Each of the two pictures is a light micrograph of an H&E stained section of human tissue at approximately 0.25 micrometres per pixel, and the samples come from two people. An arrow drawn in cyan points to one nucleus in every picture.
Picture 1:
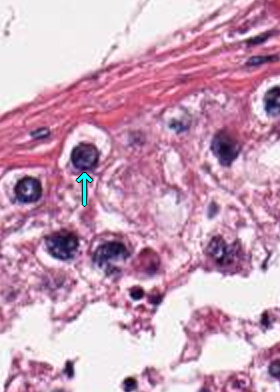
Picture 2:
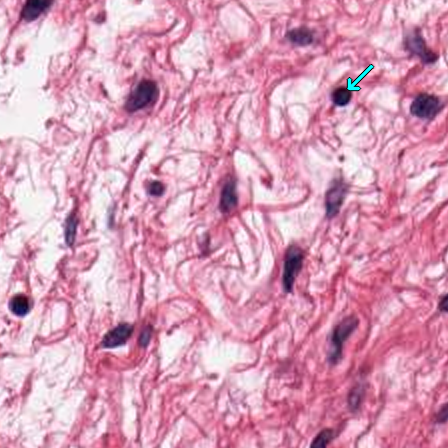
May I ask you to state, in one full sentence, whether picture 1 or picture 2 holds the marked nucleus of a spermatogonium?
Of the two pictures, picture 1 is the one in which the marked nucleus belongs to a spermatogonium.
